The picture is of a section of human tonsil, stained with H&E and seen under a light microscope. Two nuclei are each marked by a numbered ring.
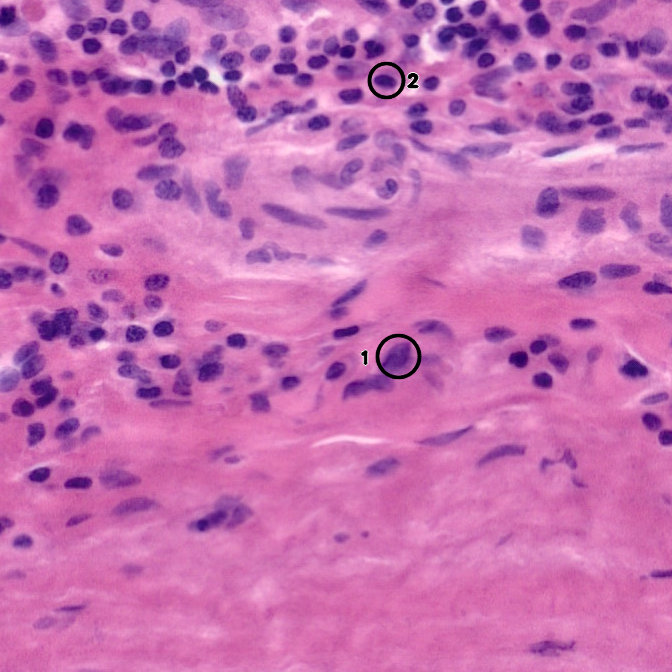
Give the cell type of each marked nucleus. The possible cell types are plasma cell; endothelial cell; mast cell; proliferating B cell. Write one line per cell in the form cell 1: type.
cell 1: endothelial cell
cell 2: mast cell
